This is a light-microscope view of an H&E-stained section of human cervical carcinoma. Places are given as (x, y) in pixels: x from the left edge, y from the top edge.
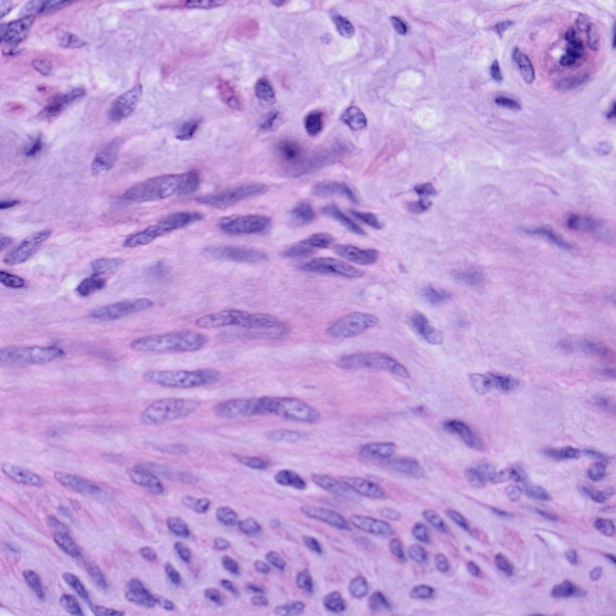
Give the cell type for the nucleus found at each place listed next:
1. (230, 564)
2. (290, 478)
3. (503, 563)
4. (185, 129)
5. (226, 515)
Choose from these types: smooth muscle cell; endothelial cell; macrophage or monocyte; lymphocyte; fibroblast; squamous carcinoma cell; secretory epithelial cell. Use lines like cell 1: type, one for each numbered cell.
cell 1: smooth muscle cell
cell 2: lymphocyte
cell 3: smooth muscle cell
cell 4: fibroblast
cell 5: smooth muscle cell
